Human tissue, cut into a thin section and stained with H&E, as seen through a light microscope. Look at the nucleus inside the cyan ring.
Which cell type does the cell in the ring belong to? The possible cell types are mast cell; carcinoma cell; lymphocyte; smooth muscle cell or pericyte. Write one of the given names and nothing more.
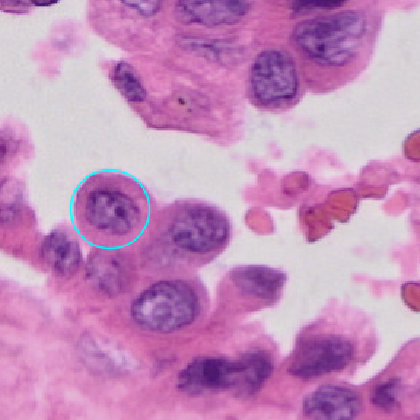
carcinoma cell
